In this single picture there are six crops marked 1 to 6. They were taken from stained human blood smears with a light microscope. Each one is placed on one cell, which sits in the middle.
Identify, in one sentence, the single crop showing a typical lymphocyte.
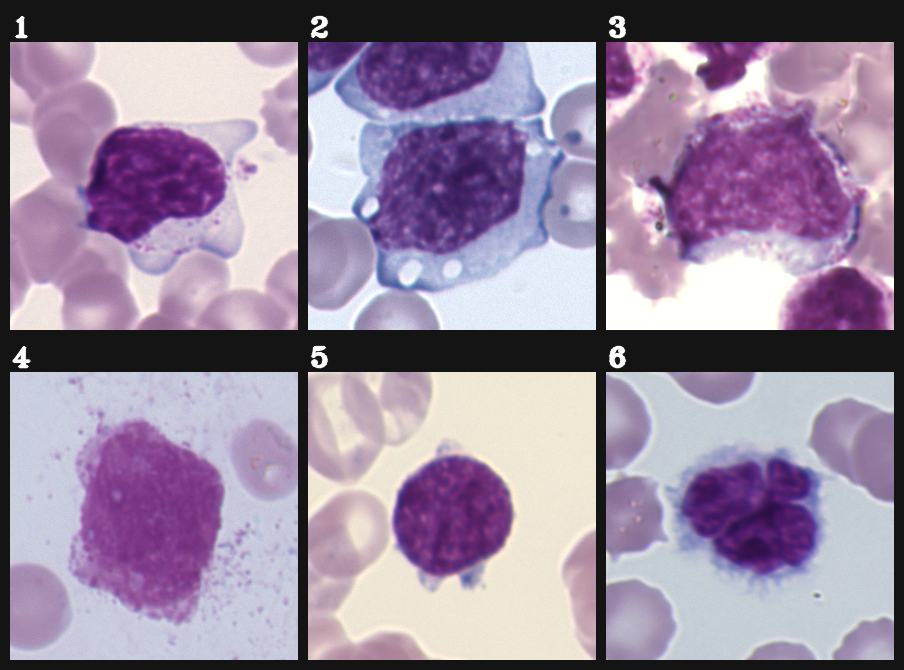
It is the cell in crop 5 that is a typical lymphocyte.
